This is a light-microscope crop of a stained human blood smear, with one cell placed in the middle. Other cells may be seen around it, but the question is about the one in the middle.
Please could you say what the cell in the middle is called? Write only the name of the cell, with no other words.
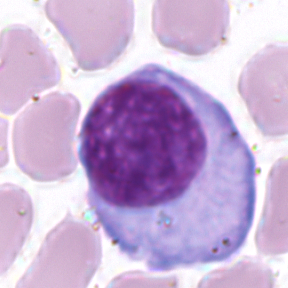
plasma cell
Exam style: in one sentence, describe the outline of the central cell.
A smooth, projection-free outline is what this cell has.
